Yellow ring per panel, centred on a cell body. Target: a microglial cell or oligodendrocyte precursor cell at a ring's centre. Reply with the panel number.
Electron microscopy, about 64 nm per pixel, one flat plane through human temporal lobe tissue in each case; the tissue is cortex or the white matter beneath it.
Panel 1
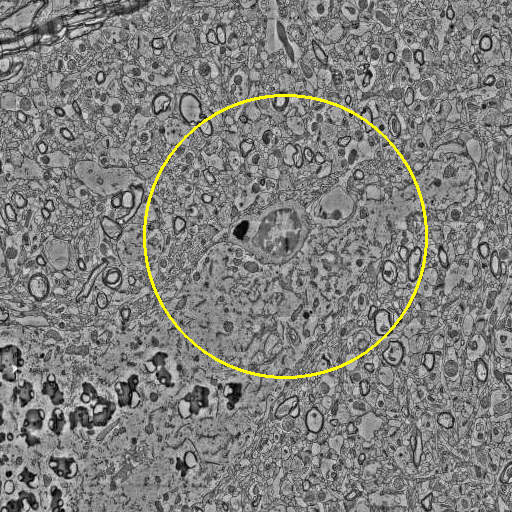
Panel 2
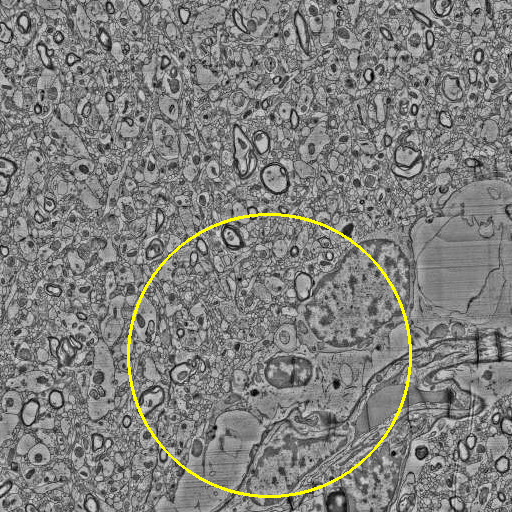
2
